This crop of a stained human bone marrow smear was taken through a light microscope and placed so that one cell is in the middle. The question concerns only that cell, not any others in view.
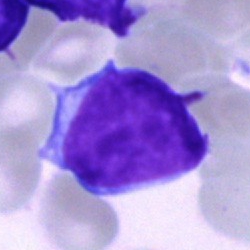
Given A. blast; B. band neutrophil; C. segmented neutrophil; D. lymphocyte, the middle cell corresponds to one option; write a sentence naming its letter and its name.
Since the cell in the centre is a blast, the correct option is A.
